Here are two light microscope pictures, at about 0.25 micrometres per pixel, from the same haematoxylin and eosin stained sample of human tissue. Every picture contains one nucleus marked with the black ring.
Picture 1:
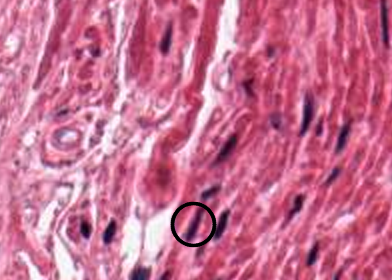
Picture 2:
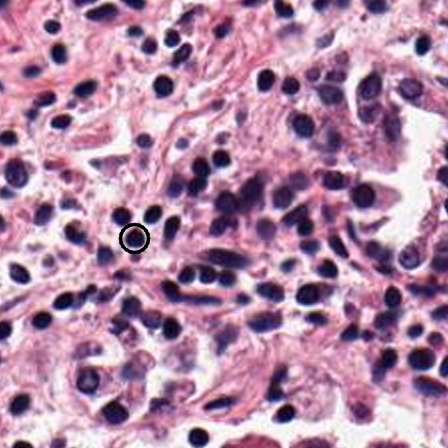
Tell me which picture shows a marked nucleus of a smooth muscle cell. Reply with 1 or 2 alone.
1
